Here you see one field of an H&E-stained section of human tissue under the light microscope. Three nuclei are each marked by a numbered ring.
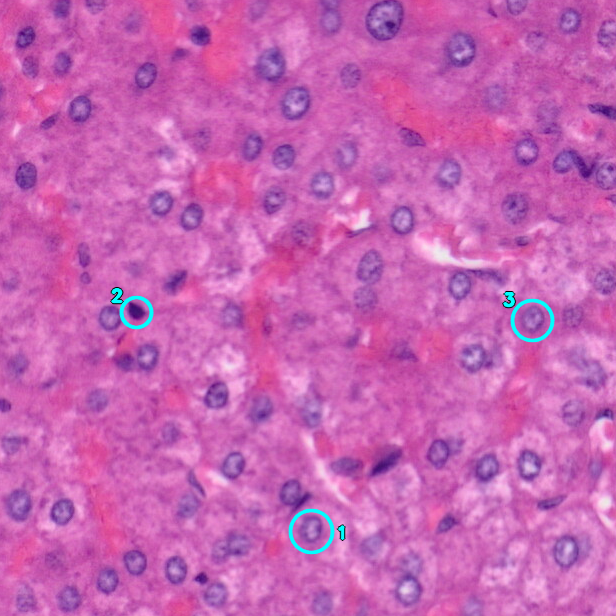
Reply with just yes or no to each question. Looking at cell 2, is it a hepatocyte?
no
